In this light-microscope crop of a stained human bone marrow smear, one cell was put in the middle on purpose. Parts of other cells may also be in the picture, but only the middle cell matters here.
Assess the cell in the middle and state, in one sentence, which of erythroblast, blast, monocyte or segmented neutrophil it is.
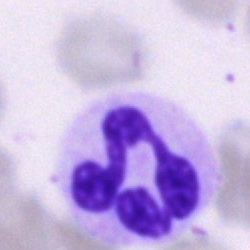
For this crop, the cell in the middle is a segmented neutrophil.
